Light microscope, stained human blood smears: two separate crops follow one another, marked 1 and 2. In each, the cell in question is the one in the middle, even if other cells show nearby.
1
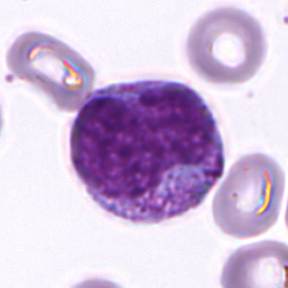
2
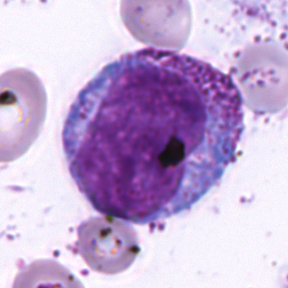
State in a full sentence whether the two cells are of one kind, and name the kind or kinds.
No, the cell centred in crop 1 is a myelocyte, and that centred in crop 2 is a promyelocyte.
